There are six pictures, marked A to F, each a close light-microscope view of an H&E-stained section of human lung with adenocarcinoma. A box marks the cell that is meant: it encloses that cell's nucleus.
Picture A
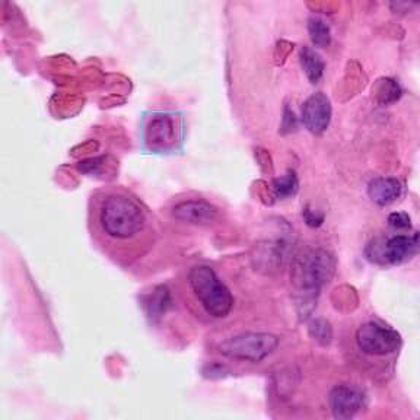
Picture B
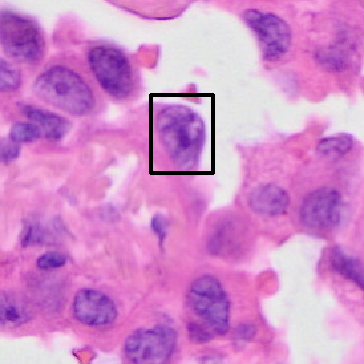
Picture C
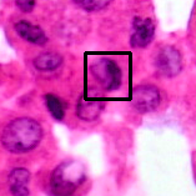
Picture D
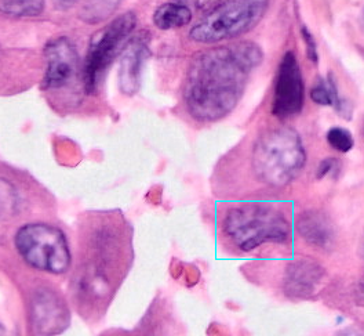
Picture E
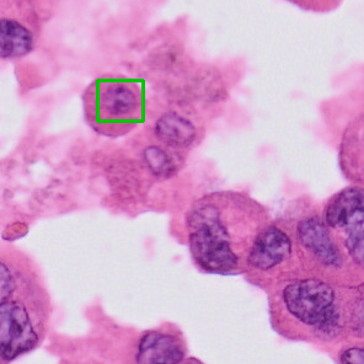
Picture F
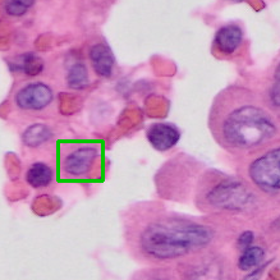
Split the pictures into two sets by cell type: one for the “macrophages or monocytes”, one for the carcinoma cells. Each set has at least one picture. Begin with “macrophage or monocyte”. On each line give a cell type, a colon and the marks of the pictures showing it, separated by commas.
macrophage or monocyte: A, C, E, F
carcinoma cell: B, D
